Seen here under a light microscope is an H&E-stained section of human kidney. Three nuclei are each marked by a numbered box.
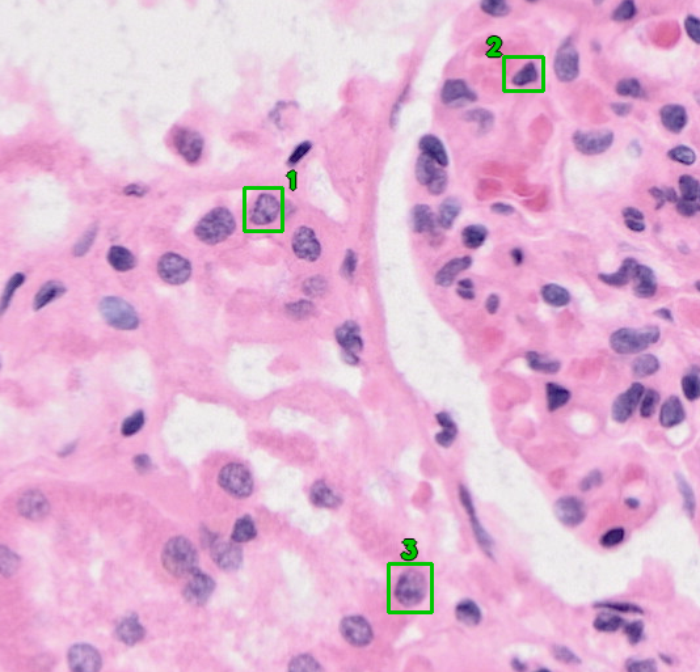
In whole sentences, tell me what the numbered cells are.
Cell 1 is a collecting duct cell. Cell 2 is an endothelial cell. Cell 3 is a proximal tubule cell.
